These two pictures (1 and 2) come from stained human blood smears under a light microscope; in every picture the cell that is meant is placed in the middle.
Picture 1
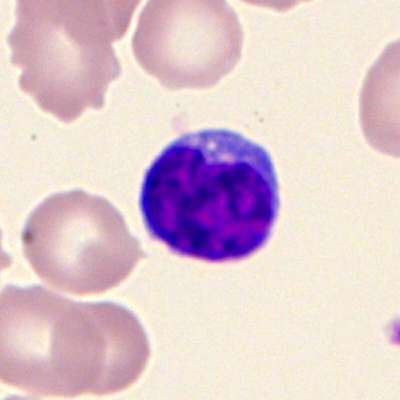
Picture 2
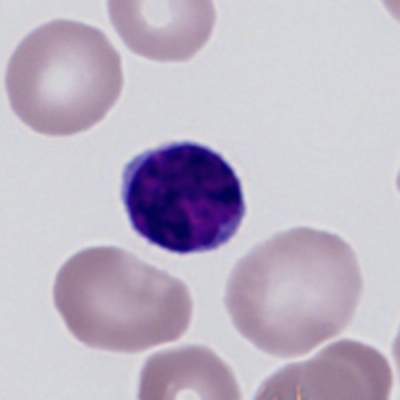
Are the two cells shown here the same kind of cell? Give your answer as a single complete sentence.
Yes; the cells in both pictures are lymphocytes.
